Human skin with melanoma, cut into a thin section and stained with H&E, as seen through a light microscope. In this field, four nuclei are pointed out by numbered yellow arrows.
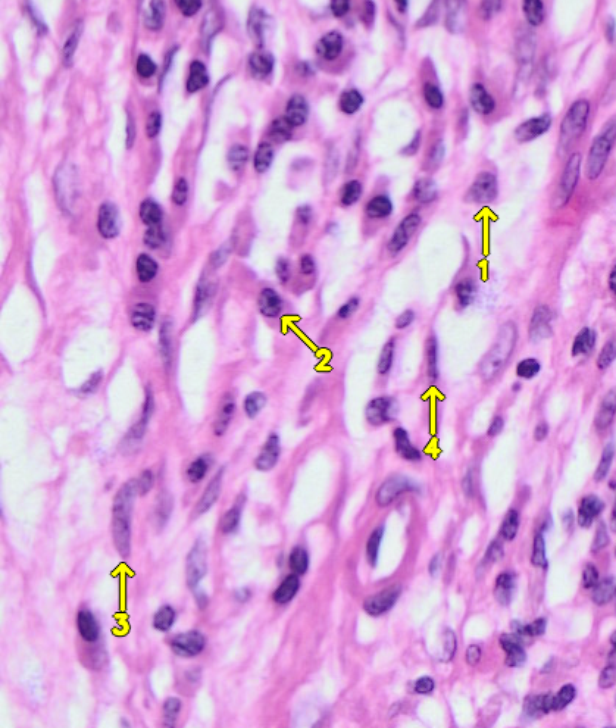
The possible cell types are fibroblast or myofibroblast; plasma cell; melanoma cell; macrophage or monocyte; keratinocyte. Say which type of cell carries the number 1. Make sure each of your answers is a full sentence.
Cell 1 of the marked set is a macrophage or monocyte.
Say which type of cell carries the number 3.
Identified by the number 3, the cell is a macrophage or monocyte.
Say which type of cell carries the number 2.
Number 2 among the marked cells is a plasma cell.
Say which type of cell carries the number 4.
The cell with the number 4 is a fibroblast or myofibroblast.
